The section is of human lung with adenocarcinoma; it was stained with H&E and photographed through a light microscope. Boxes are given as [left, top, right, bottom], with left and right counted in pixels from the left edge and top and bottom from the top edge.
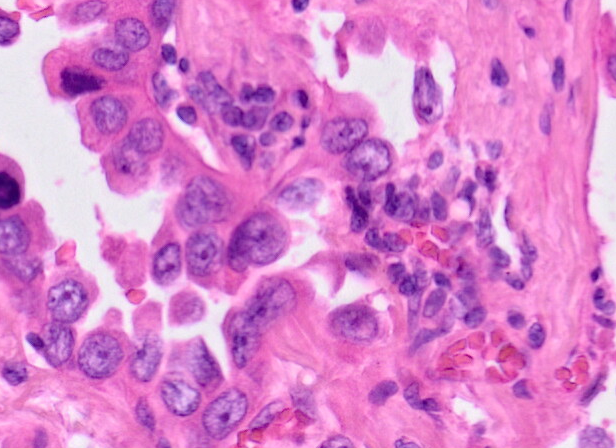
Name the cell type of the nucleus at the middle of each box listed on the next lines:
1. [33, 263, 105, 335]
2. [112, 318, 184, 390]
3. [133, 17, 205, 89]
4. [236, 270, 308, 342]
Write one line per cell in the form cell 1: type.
cell 1: carcinoma cell
cell 2: carcinoma cell
cell 3: lymphocyte
cell 4: carcinoma cell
